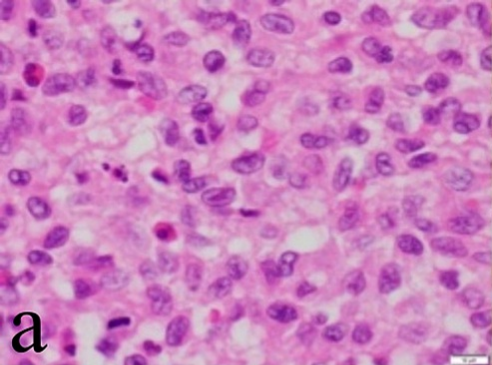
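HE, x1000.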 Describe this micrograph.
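This high-power field shows a tumour made of sheets of large cells with ample pale pink cytoplasm and poorly defined borders. Their oval nuclei are pale and vesicular, many with an indentation or groove in their outline and some with a small nucleolus. Scattered among the tumour cells are eosinophilic leukocytes, recognisable by their bright red granular cytoplasm and small dark lobed nuclei.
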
